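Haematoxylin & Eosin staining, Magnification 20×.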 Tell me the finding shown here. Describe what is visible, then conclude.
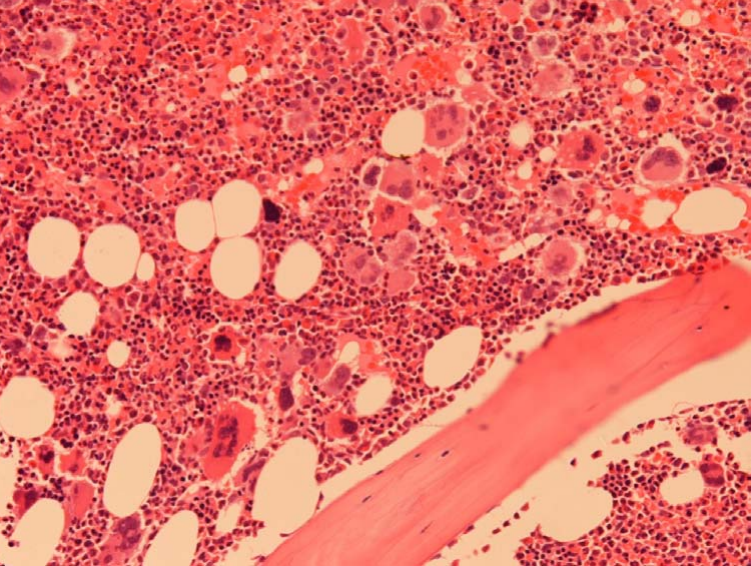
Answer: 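Many very large cells with abundant pink-violet cytoplasm are scattered through the marrow. These large cells have big lobulated nuclei. Several of the large cells lie close together in groups.
Answer: increased number of megakaryocytes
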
